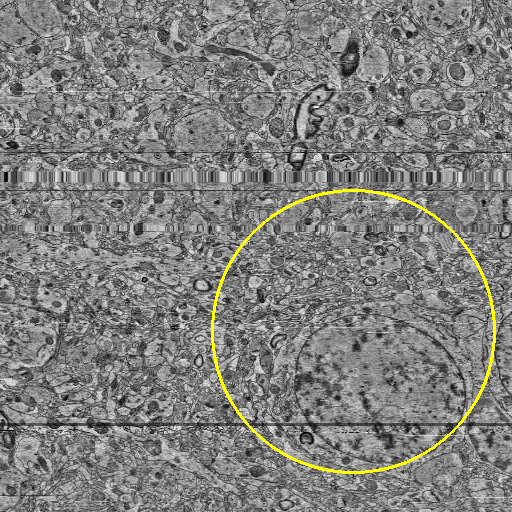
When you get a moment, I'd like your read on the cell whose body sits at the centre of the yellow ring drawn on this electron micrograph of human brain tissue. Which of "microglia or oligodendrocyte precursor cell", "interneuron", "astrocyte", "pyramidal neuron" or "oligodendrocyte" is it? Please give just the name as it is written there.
pyramidal neuron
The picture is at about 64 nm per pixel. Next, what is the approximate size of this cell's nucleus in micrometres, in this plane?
Approximately 11 x 9 micrometres in this plane.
